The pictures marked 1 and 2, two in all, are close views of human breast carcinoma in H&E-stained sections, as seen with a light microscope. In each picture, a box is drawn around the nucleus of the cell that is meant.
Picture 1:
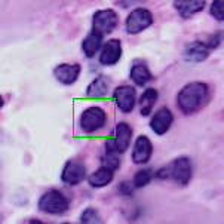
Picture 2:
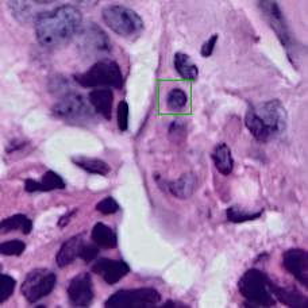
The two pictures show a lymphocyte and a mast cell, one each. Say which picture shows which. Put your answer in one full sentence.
Picture 2 shows a mast cell, while picture 1 shows a lymphocyte.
